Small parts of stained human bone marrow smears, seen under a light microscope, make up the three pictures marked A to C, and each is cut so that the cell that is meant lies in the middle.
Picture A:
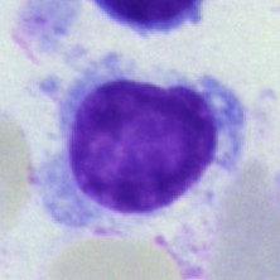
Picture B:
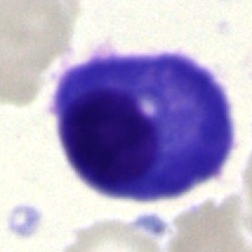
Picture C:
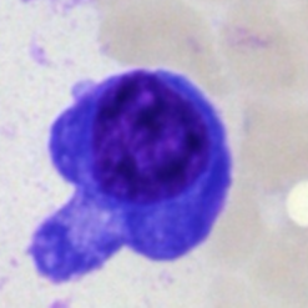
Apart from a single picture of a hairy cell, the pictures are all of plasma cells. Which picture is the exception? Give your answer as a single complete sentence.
Picture A is the one that shows the hairy cell.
